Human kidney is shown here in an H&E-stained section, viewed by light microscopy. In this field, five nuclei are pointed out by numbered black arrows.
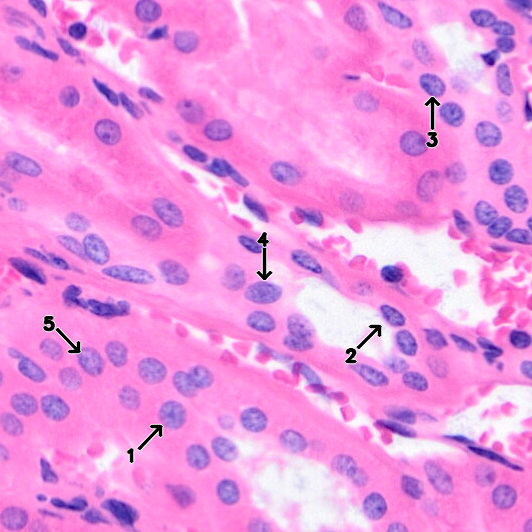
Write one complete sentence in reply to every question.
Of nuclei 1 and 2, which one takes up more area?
Nucleus 1 covers more area, about 1.5 times as much as nucleus 2.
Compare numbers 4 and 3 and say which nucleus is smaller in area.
Nucleus 3 is the smaller one; nucleus 4 covers about 1.5 times its area.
